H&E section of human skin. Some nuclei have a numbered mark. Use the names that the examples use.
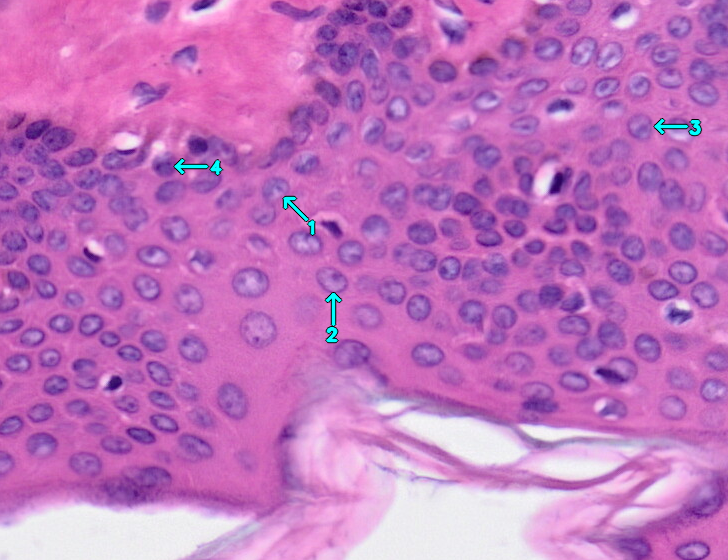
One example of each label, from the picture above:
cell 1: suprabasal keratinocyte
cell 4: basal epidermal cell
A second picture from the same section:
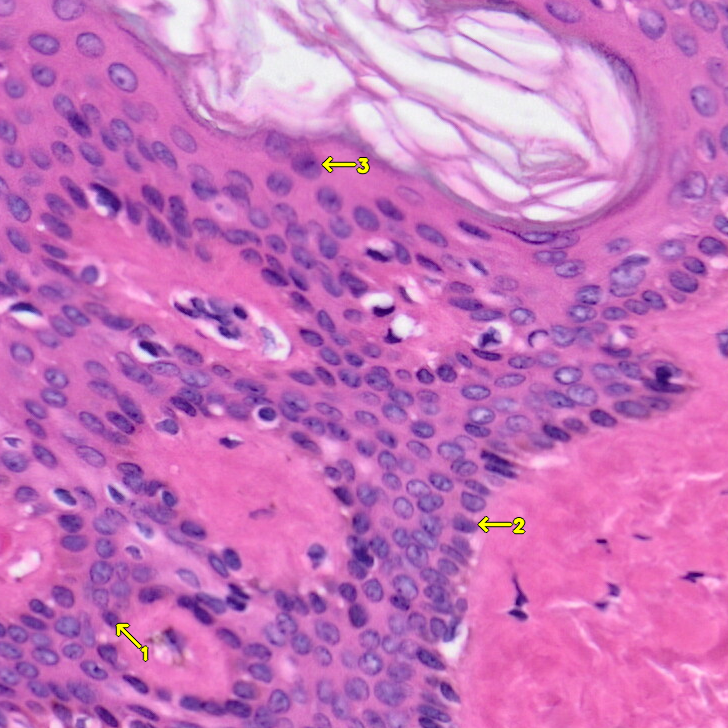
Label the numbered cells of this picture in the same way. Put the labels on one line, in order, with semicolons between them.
basal epidermal cell; basal epidermal cell; suprabasal keratinocyte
